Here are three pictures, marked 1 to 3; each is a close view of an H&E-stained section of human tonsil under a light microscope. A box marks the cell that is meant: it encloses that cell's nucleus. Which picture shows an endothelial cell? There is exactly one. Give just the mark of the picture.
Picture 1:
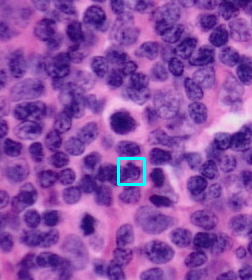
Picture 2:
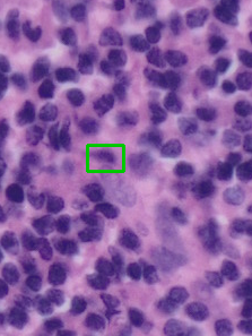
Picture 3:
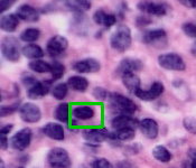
2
